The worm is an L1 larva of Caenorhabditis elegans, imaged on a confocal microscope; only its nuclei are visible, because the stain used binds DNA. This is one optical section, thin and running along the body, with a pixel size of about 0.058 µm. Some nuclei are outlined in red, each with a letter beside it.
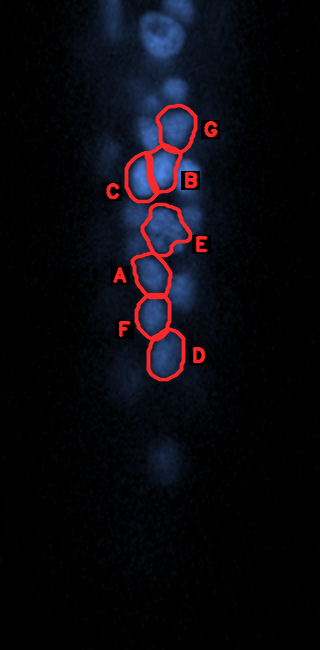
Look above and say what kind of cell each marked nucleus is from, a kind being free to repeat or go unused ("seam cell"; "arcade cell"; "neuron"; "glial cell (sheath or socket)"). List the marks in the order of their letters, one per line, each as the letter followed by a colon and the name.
A: glial cell (sheath or socket)
B: glial cell (sheath or socket)
C: glial cell (sheath or socket)
D: arcade cell
E: seam cell
F: arcade cell
G: neuron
